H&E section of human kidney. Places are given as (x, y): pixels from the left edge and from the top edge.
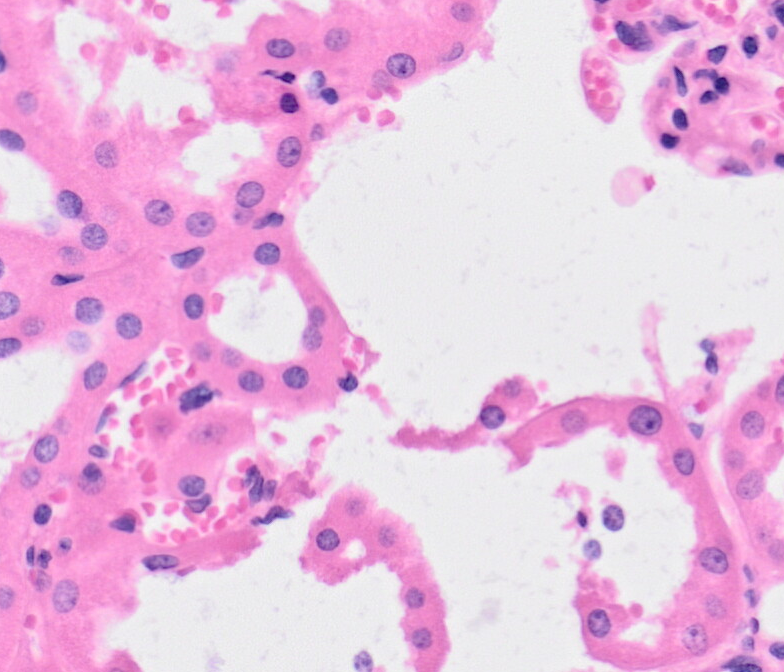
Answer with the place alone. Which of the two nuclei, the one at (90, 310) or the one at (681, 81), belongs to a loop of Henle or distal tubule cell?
(90, 310)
